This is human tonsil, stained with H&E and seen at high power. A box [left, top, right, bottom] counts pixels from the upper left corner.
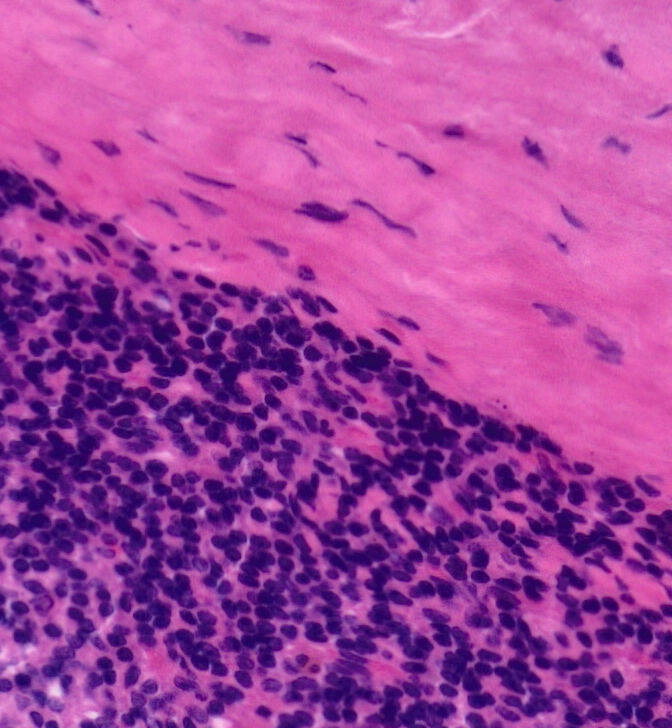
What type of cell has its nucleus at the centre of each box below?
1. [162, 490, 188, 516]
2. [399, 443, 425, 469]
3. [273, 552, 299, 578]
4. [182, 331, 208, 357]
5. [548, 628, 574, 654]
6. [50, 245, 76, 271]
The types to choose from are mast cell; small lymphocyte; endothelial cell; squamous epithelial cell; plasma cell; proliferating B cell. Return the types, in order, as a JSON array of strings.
["small lymphocyte", "small lymphocyte", "small lymphocyte", "small lymphocyte", "endothelial cell", "endothelial cell"]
